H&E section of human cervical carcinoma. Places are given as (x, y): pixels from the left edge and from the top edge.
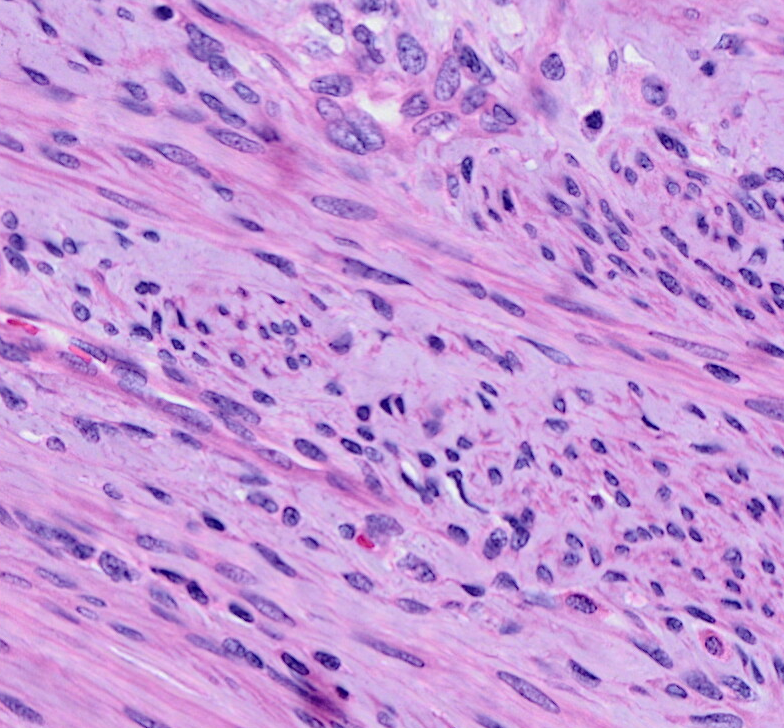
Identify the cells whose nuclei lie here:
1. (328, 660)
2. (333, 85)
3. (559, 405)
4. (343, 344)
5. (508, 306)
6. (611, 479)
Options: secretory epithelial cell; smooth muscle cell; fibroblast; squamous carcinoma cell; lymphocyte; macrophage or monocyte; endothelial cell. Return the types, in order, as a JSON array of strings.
["lymphocyte", "endothelial cell", "smooth muscle cell", "smooth muscle cell", "smooth muscle cell", "smooth muscle cell"]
